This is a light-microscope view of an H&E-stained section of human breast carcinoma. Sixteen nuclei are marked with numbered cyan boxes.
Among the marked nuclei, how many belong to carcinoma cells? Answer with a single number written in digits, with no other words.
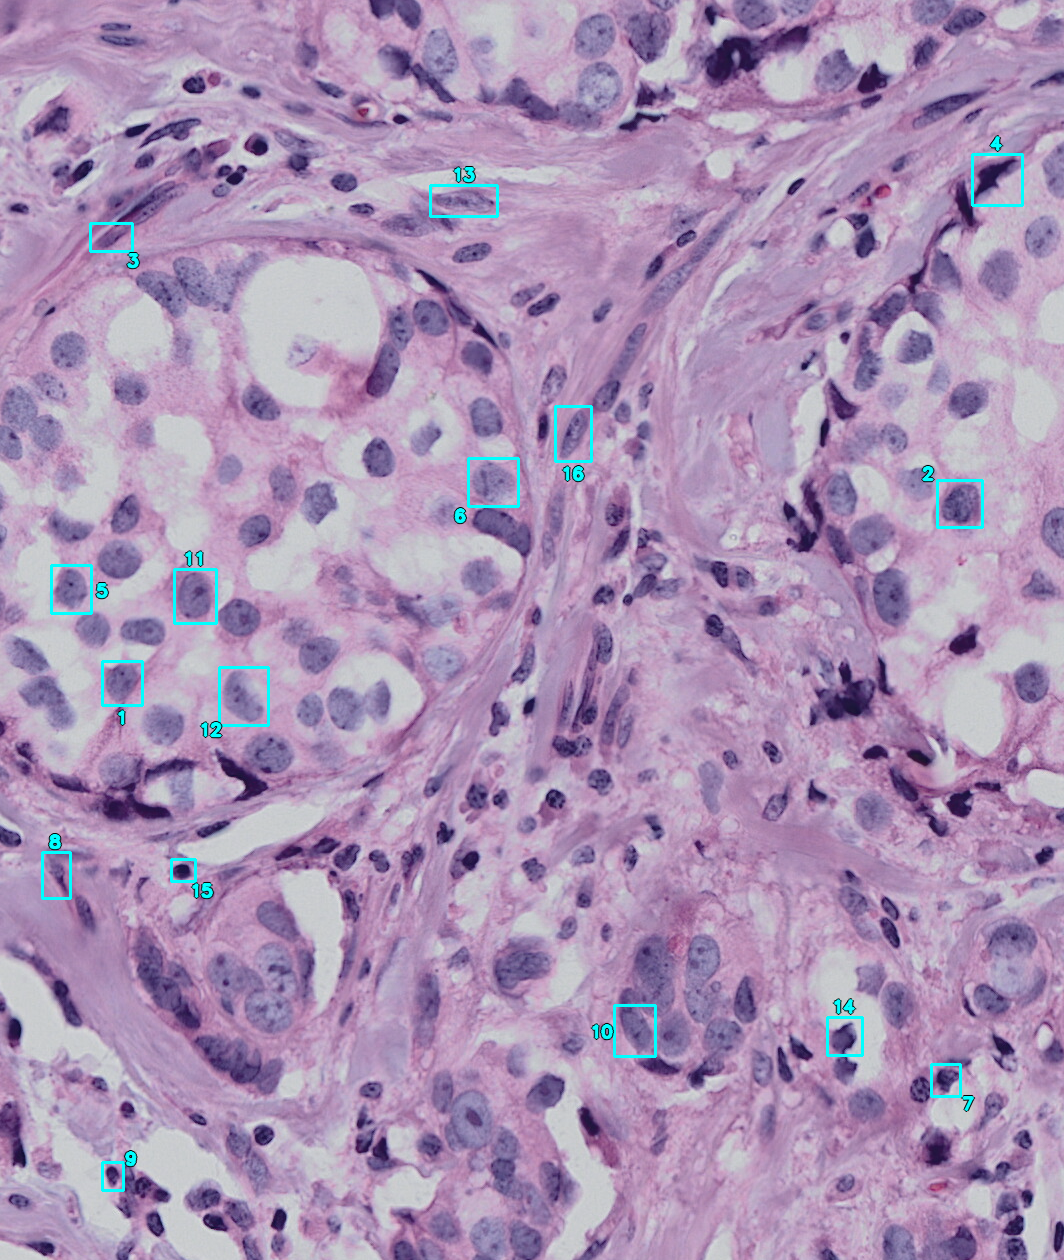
9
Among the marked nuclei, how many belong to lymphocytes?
3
